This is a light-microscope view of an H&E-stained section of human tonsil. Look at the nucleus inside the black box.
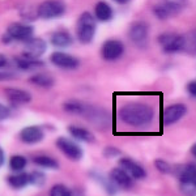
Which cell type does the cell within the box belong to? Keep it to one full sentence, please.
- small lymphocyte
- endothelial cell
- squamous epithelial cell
In short, the cell within the box on this section is an endothelial cell.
